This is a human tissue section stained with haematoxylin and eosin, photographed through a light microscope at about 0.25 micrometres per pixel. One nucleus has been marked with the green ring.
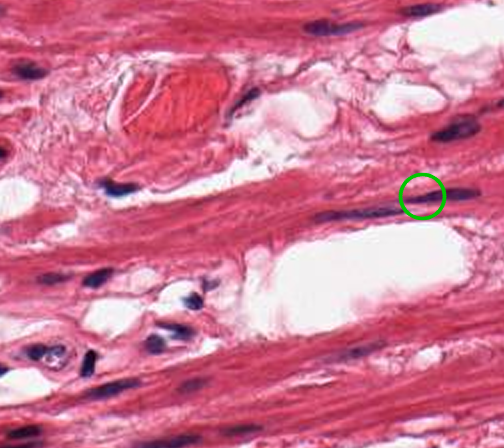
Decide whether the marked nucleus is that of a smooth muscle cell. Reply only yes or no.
yes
